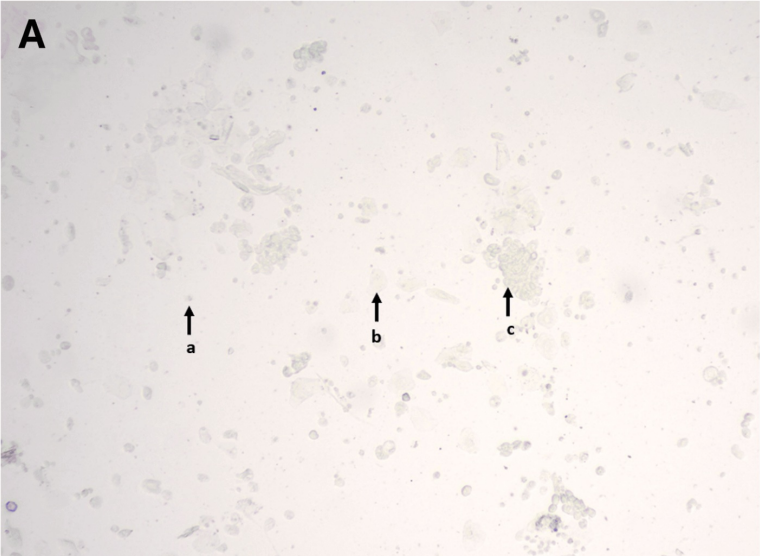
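A low-power field of an unstained smear shows leucocytes and epithelial cells on a pale background. Many small rounded leucocytes are scattered singly across the field. In several places they are gathered into dense clumps of overlapping cells. Larger, flat, faint epithelial cells with pale outlines lie among them. There are also some elongated, irregular flakes, mainly toward the upper left. Contrast is low throughout, and cell borders are only faintly visible.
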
